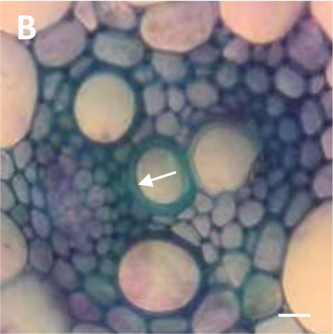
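This is a cross section through xylem, where large water-conducting cells appear as wide round openings among many small, tightly packed cells. The big lumens look pale orange and empty, with no visible contents. Around the one the arrow points to, the cell wall stands out as a broad green-stained ring, clearly thicker than the thin walls of the small surrounding cells. The small cells are polygonal to rounded, with blue-grey walls, and on one side a cluster of even smaller cells carries a faint purple tint. The large cells sit singly or in pairs, embedded in this mesh of small cells.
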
